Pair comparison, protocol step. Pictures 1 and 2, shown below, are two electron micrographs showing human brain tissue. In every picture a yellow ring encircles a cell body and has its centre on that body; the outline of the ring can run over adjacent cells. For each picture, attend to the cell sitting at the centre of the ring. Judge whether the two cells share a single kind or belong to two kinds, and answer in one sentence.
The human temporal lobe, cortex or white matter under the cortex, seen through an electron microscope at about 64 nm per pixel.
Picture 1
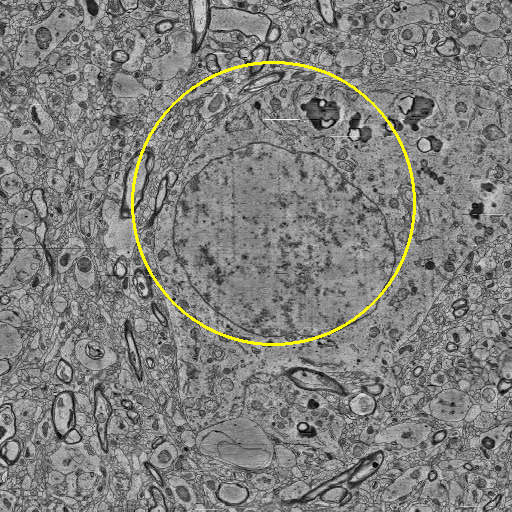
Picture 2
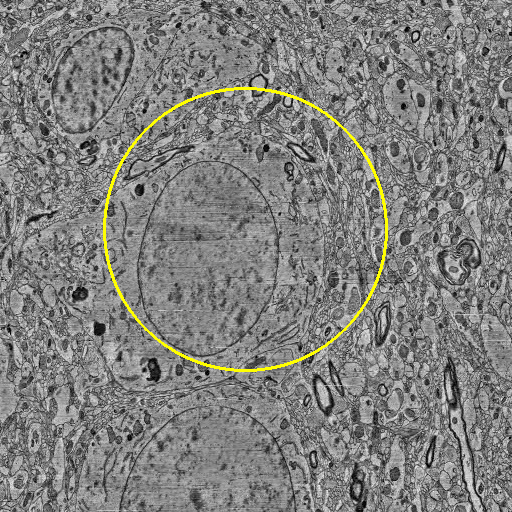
The two cells at the ring centres in Picture 1 and Picture 2 share a single kind.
